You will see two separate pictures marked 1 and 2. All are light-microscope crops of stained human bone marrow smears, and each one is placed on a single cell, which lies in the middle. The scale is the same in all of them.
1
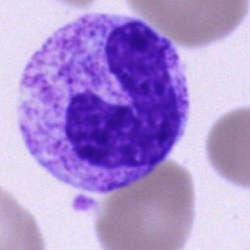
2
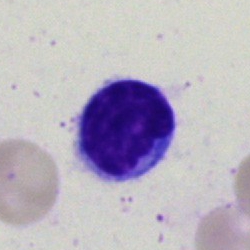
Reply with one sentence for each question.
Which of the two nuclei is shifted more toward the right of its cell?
In crop 1 the nucleus is shifted more toward the right.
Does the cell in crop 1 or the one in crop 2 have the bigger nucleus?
It is the nucleus in crop 1, about 2 times as large in area as the one in crop 2.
